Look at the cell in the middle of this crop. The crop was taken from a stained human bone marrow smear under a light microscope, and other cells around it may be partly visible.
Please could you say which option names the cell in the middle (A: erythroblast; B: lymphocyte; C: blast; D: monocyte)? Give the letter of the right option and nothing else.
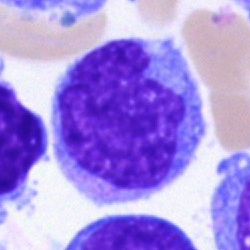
D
